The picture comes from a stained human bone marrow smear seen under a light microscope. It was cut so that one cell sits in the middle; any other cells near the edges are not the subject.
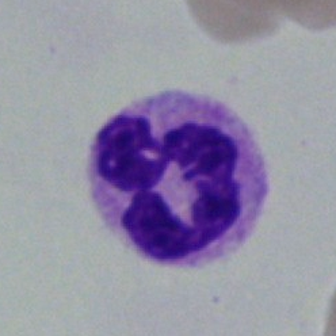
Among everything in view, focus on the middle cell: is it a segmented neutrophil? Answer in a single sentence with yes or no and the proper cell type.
Yes, within this crop, the central cell is a segmented neutrophil.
